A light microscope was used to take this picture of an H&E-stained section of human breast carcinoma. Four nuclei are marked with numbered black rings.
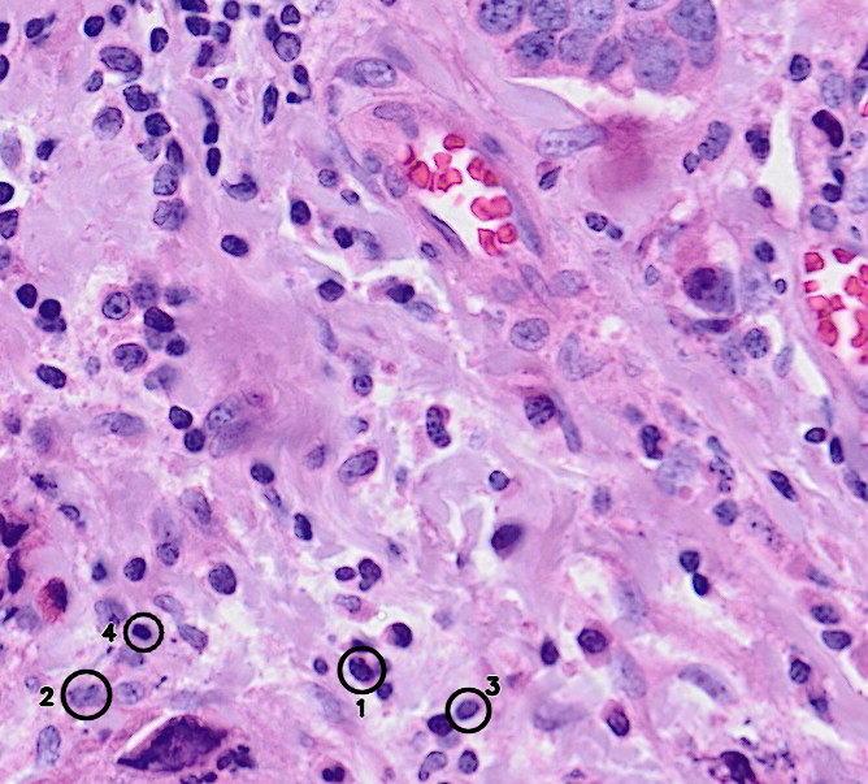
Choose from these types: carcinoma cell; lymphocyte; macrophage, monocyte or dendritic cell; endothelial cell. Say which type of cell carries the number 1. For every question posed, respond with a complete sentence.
Among the marked cells, number 1 is a lymphocyte.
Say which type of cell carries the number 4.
Corresponding to a lymphocyte is the cell labelled 4.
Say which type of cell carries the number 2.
Classified as a macrophage, monocyte or dendritic cell is the cell with the number 2.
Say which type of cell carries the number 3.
Number 3 is placed on a lymphocyte here.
